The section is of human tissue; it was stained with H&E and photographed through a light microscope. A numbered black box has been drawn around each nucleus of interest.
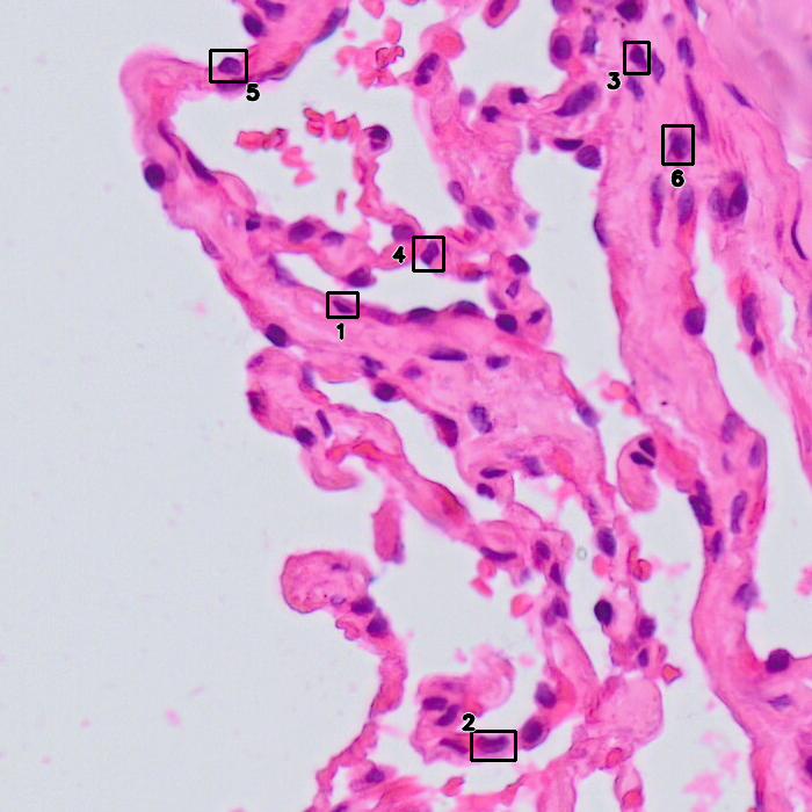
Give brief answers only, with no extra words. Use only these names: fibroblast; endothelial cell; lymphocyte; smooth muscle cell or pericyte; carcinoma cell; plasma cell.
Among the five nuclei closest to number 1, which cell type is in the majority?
fibroblast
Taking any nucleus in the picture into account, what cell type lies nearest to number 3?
fibroblast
